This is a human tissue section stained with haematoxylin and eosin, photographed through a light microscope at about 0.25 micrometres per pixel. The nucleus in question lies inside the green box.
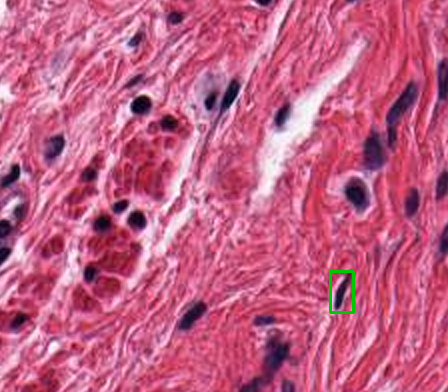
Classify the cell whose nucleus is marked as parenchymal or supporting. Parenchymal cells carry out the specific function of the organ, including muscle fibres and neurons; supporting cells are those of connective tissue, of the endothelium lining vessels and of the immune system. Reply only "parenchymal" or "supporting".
supporting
